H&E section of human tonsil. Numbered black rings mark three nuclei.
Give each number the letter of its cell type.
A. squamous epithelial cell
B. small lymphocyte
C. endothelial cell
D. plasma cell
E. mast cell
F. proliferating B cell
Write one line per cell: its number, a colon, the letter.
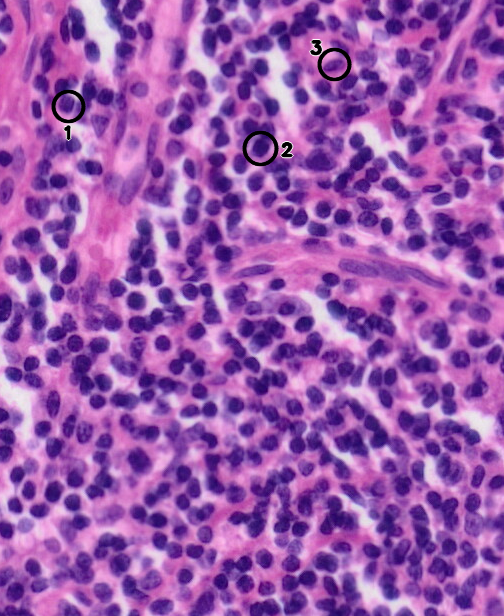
1: B
2: B
3: C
